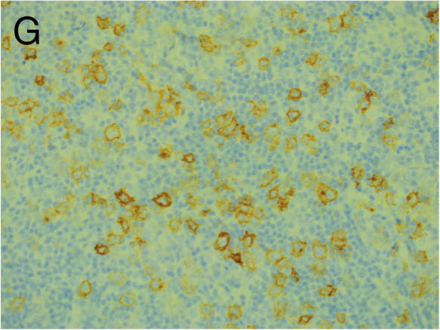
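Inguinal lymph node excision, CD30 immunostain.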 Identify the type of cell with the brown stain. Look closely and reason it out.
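Large atypical cells. Brown stain rims scattered large cells. Small blue-nuclei cells around them are unstained.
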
